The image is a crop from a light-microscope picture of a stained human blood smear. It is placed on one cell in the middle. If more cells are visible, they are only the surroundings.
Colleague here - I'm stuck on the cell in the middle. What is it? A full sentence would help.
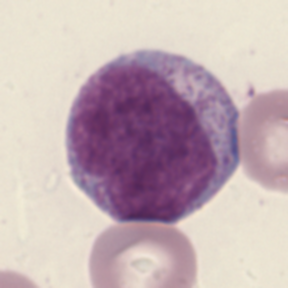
The cell in the middle of this crop is a promyelocyte.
